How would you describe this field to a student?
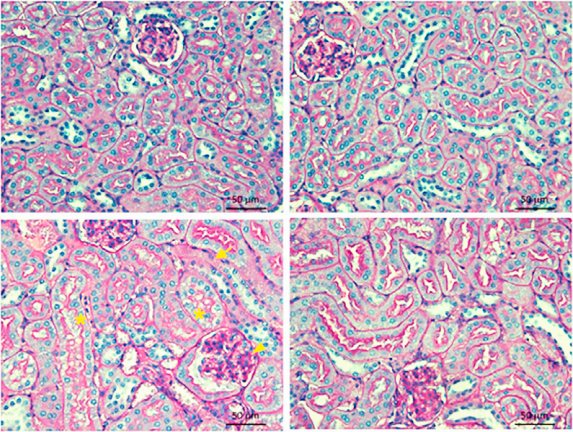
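Four fields of kidney cortex stained magenta with small blue-green nuclei. Round glomeruli with tightly packed capillary tufts lie among densely packed cross-sectioned tubules. In the upper fields the tubules have regular cuboidal lining cells, magenta-rimmed lumens and sharp basement membranes. In the lower left field the glomerulus looks larger and richer in magenta material, several tubular cells look pale and vacuolated, and some tubules have lost the magenta rim along their luminal surface; yellow marks point to these spots. The lower right field shows dilated tubules with open lumens but fewer such changes.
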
